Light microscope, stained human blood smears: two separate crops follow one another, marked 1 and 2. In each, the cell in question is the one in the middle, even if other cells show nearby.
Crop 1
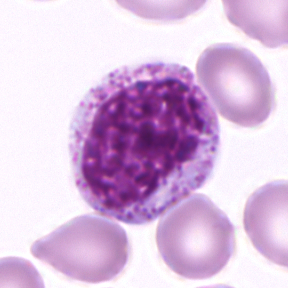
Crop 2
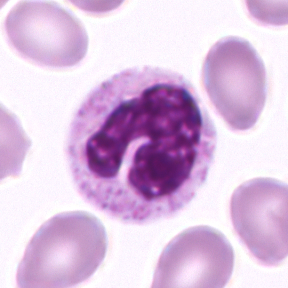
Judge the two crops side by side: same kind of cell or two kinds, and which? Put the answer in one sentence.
No, it is in crop 1 that a metamyelocyte is shown, and in crop 2 that a band neutrophil is shown.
